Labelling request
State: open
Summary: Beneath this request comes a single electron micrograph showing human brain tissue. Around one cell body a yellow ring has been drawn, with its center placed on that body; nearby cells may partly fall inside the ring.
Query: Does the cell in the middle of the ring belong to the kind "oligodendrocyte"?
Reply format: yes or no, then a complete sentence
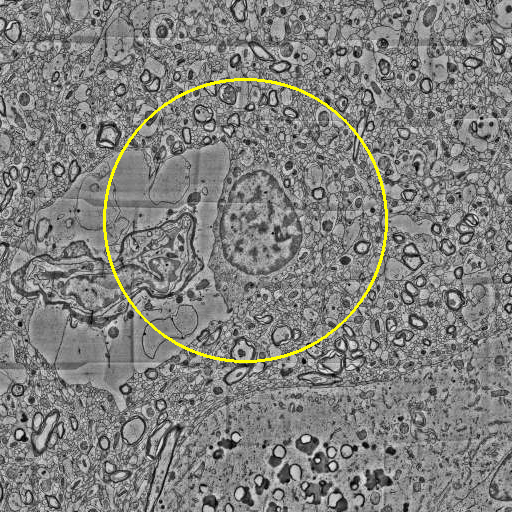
Yes, the cell sitting at the center of the ring in this picture is of that kind.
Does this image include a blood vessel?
Yes, a blood vessel can be seen.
